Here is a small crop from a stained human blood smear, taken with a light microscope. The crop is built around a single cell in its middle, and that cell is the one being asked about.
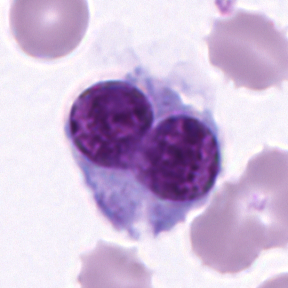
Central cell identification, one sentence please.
The centrally located cell in the crop is a plasma cell.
